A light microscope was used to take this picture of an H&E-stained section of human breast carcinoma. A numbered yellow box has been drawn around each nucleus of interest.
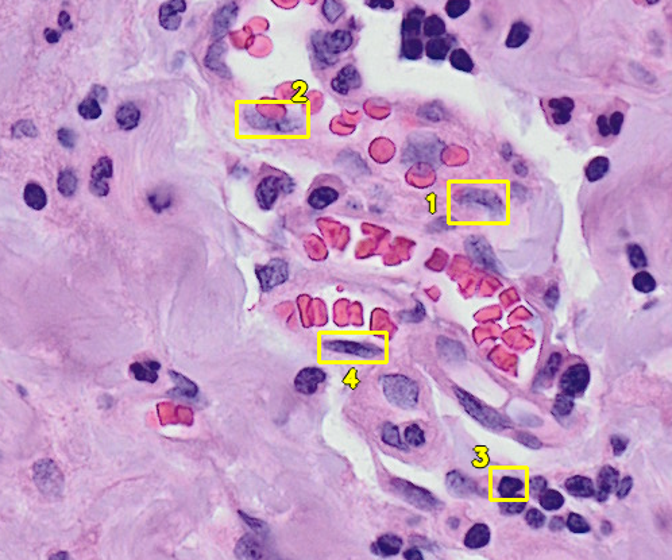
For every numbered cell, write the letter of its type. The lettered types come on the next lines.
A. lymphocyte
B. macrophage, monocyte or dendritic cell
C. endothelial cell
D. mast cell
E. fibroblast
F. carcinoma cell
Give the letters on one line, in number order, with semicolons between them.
C; C; A; C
